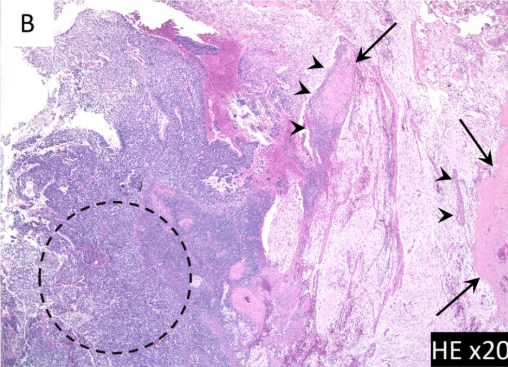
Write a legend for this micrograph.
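At low power the left half is taken up by a dense, deep blue-purple, highly cellular tissue. To the right it gives way to pale pink, smooth, glassy areas with few cells, alongside looser pale stroma. Thin darker linings run along clefts next to these pink areas.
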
